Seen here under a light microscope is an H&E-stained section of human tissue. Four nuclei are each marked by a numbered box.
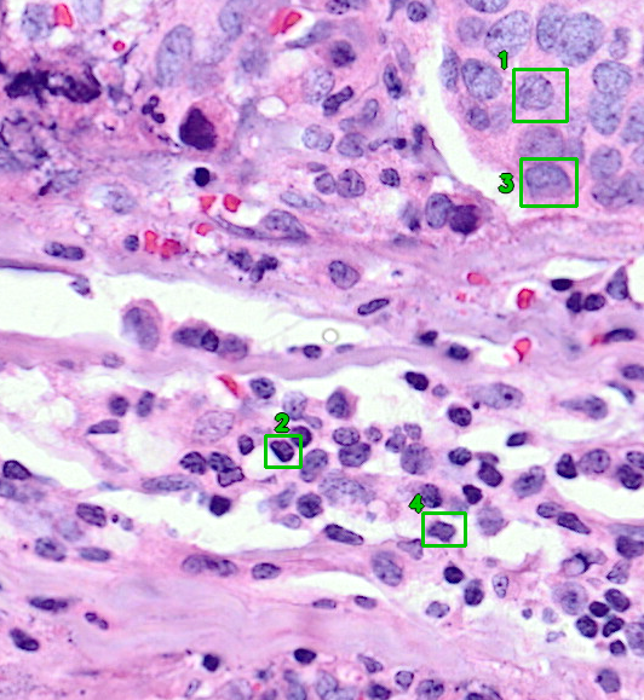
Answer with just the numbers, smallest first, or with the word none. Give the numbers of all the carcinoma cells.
1, 3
